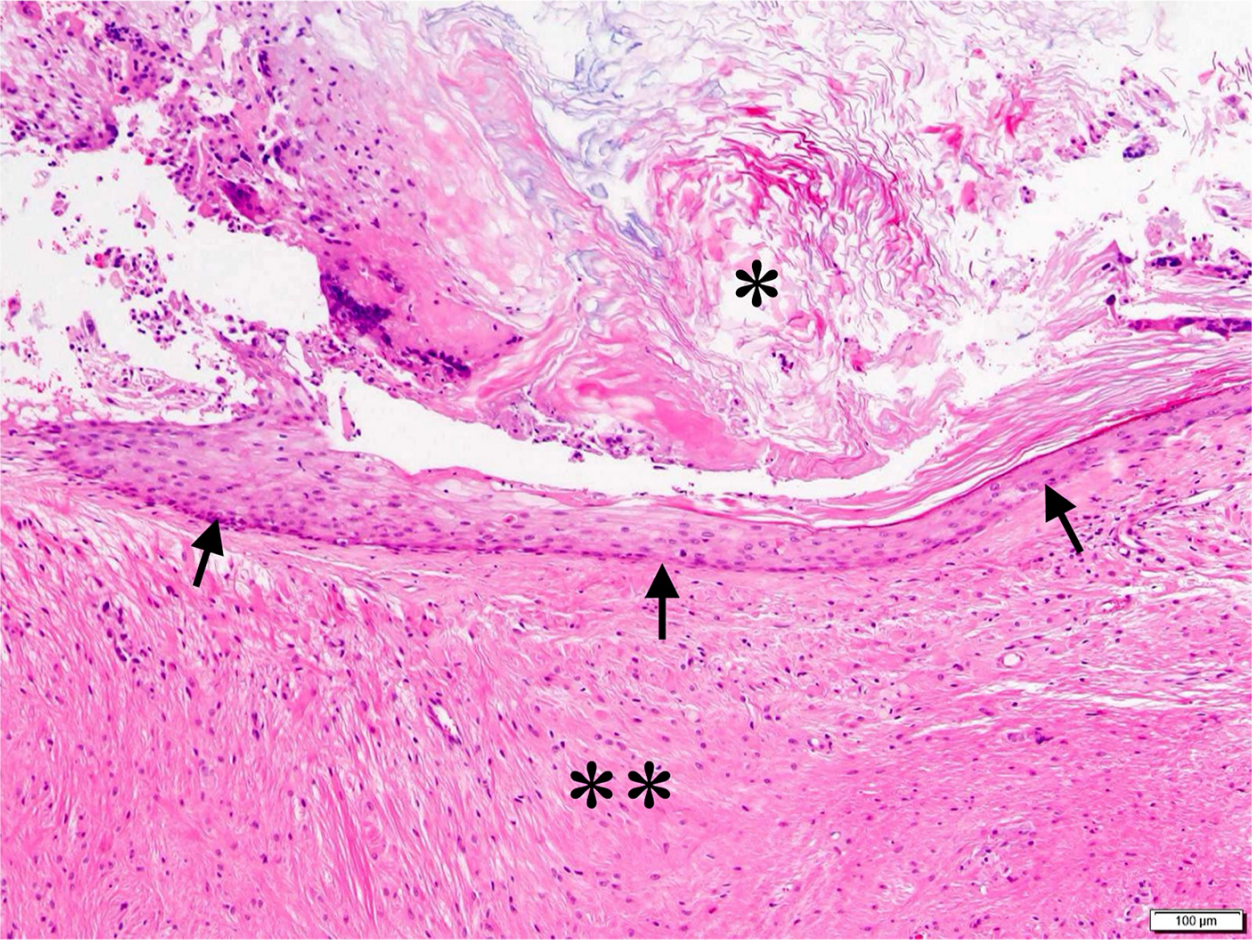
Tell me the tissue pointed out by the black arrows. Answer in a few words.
keratinized stratified squamous epithelium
